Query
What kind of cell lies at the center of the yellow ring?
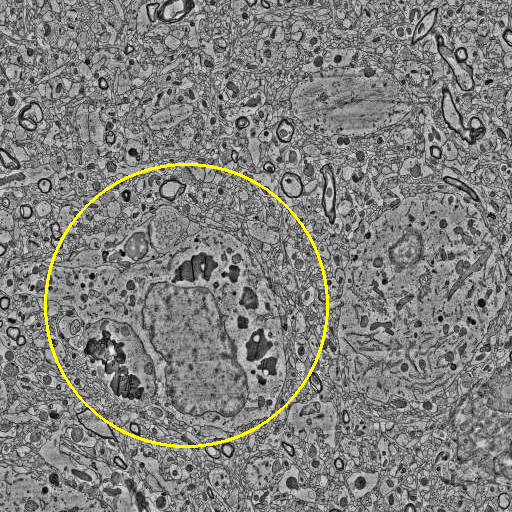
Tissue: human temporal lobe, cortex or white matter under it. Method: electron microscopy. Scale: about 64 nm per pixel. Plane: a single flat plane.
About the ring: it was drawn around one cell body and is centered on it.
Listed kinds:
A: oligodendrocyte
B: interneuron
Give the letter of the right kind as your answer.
B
